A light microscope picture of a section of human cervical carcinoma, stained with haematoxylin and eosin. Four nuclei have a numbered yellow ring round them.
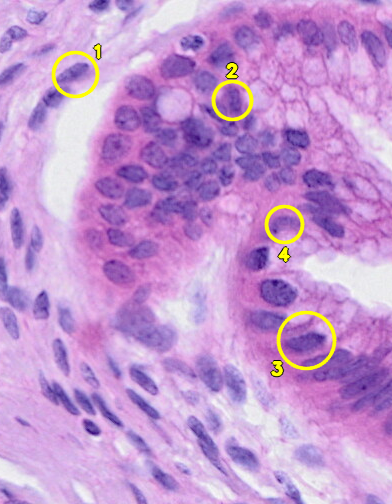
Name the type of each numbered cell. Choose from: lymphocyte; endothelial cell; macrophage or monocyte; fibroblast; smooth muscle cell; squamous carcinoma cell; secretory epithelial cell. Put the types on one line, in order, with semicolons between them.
fibroblast; secretory epithelial cell; secretory epithelial cell; secretory epithelial cell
